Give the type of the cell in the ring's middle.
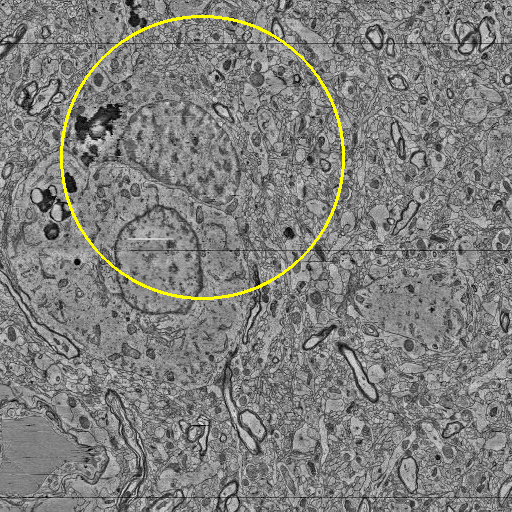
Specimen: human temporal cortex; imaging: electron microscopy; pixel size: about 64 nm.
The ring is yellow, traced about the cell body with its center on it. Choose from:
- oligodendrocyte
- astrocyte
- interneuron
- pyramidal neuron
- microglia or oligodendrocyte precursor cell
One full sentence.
Here, an oligodendrocyte is the cell lying at the center of the yellow ring.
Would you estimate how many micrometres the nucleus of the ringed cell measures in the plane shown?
About 8 by 6 micrometers, in this plane.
